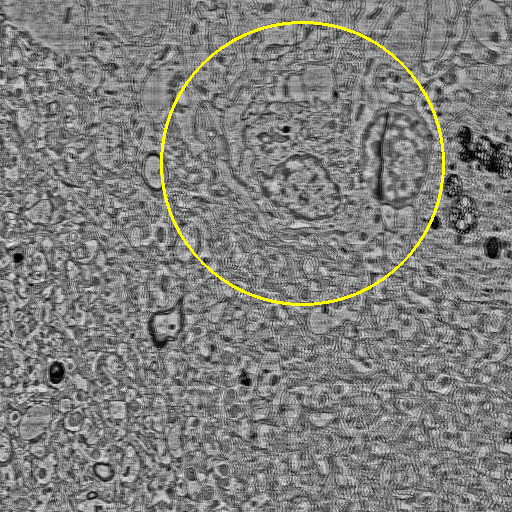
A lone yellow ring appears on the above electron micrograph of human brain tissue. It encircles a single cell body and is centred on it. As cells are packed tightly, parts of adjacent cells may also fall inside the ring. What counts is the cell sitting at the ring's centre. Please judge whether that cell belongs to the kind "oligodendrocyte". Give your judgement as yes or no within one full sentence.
No, the cell lying at the centre of the ring in the picture belongs to another kind.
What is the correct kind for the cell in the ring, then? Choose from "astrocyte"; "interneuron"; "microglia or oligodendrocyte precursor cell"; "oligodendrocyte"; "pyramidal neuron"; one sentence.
As it turns out, the cell at the ring centre is a microglial cell or oligodendrocyte precursor cell.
